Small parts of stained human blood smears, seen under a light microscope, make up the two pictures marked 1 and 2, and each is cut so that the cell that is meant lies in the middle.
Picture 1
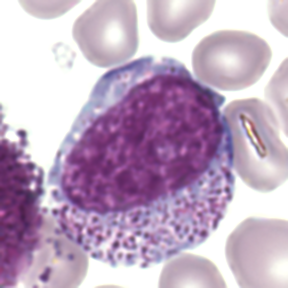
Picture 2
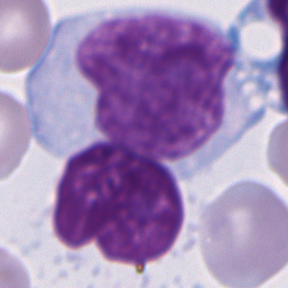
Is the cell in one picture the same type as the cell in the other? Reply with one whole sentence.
No, the types are not the same, since picture 1 shows a promyelocyte and picture 2 a myeloblast.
